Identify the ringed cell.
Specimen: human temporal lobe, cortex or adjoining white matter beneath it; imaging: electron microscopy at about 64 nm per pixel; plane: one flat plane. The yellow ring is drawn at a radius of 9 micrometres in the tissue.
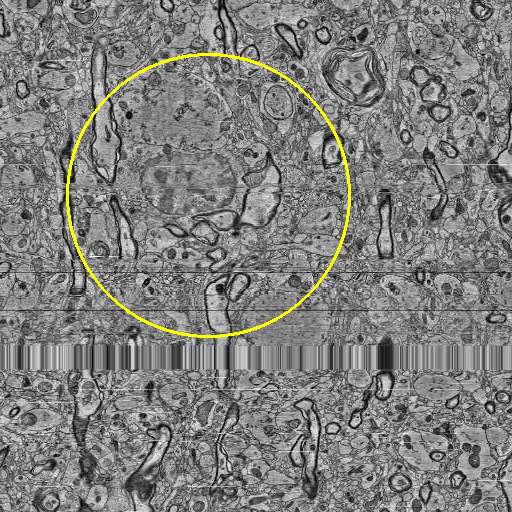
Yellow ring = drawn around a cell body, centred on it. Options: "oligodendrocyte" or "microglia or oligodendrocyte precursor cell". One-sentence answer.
What the ring is centred on is an oligodendrocyte.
